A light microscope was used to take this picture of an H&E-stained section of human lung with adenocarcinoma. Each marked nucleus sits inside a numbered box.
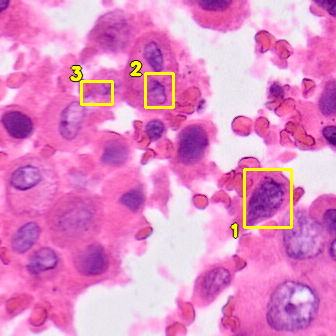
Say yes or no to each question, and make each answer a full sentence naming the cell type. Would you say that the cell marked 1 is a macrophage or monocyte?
No, cell 1 is not a macrophage or monocyte; a carcinoma cell is the correct identification.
